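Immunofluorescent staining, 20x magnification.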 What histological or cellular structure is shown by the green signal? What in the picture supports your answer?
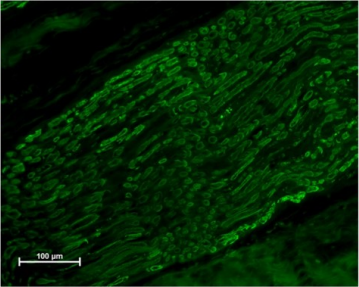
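Green rings encircle many round fibre cross-sections. Green double lines run along longitudinally cut fibres.
Hence: myelin.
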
